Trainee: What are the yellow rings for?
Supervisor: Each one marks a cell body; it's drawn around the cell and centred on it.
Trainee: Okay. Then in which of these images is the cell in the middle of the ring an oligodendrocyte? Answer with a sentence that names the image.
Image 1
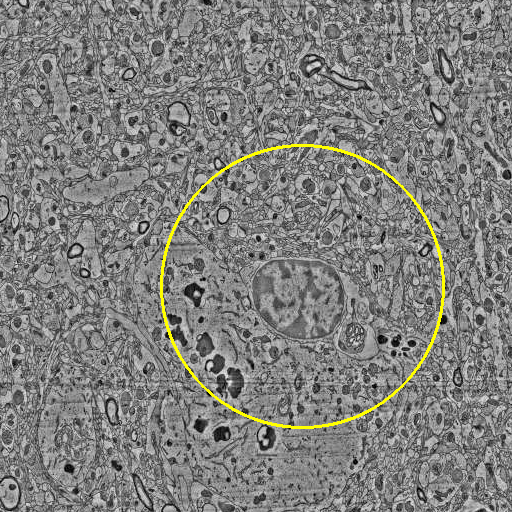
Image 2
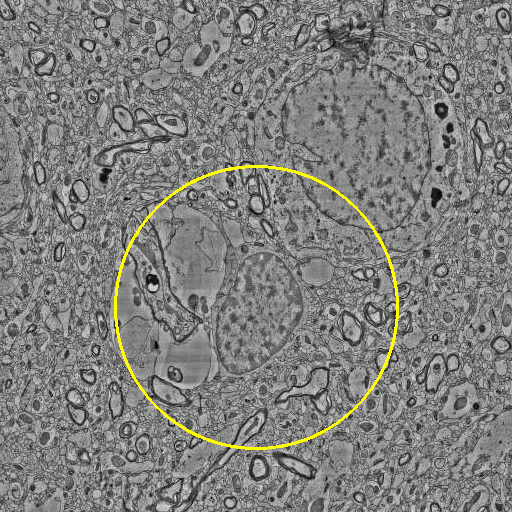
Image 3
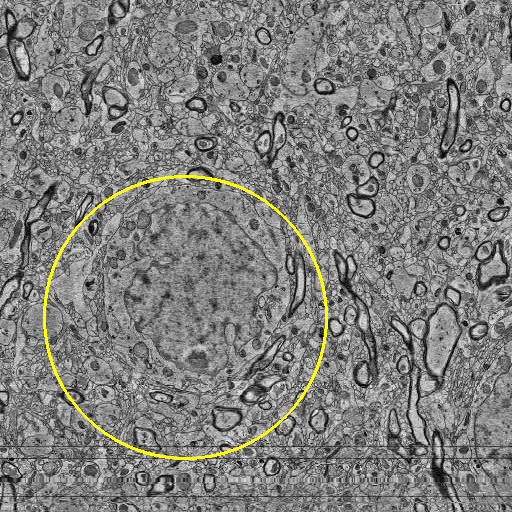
Image 2 has it in the middle of the ring.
